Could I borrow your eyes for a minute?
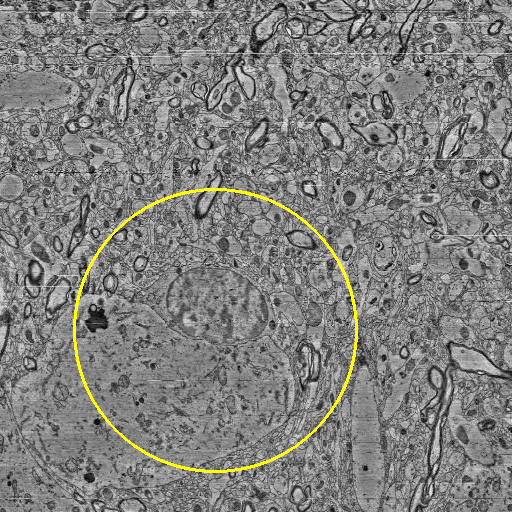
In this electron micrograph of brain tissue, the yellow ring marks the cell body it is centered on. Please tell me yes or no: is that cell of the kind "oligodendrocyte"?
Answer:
yes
